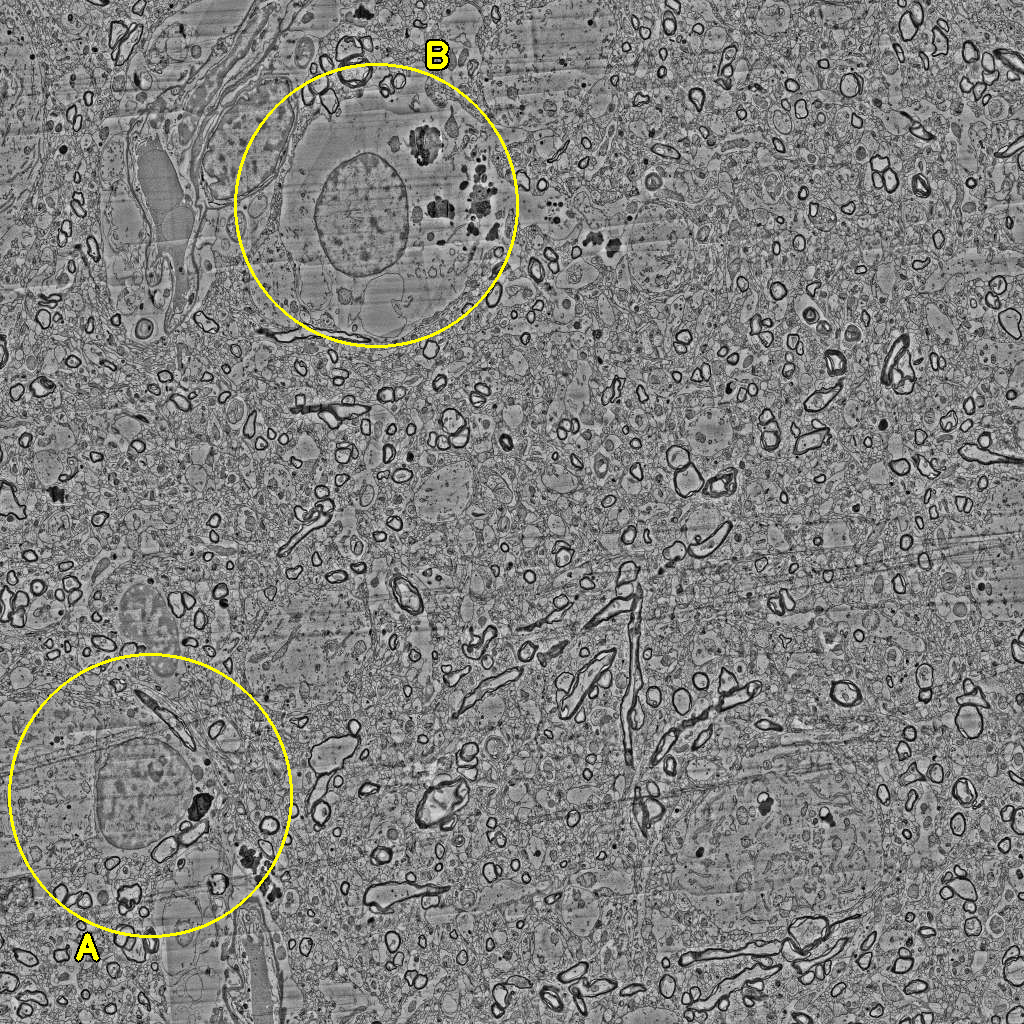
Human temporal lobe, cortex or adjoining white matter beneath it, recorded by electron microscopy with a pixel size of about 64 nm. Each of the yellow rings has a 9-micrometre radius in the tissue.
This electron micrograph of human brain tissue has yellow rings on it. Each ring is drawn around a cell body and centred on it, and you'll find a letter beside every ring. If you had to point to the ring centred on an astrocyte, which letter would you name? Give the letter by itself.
B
